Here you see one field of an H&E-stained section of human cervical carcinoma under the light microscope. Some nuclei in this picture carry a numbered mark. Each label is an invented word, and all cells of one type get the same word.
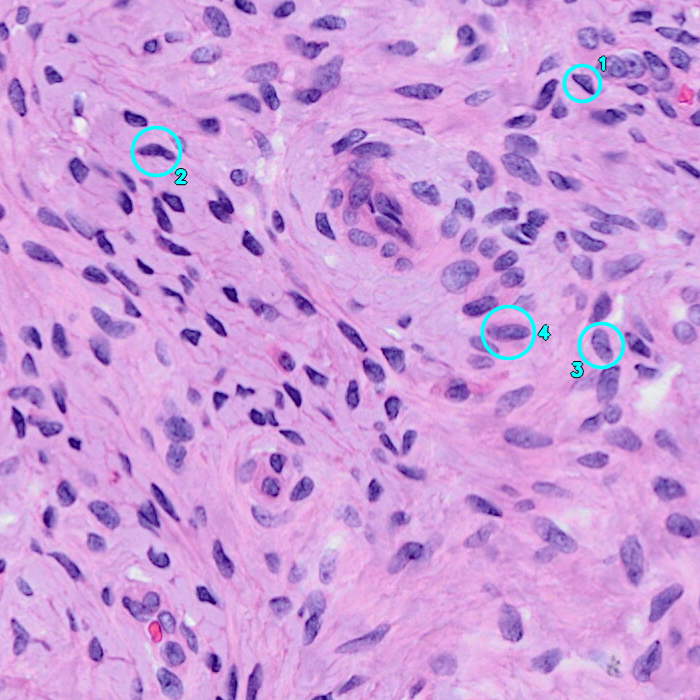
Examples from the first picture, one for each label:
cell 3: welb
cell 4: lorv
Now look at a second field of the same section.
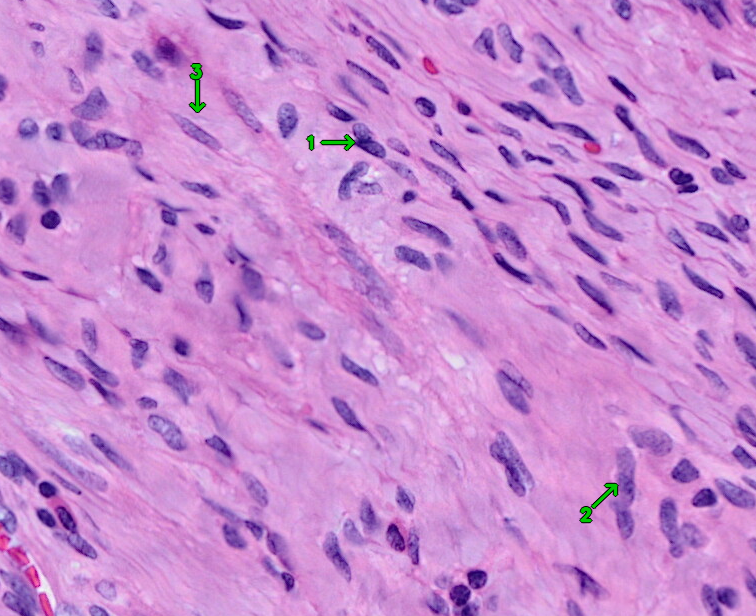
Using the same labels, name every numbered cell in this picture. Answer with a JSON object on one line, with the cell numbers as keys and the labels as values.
{"1": "welb", "2": "welb", "3": "lorv"}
